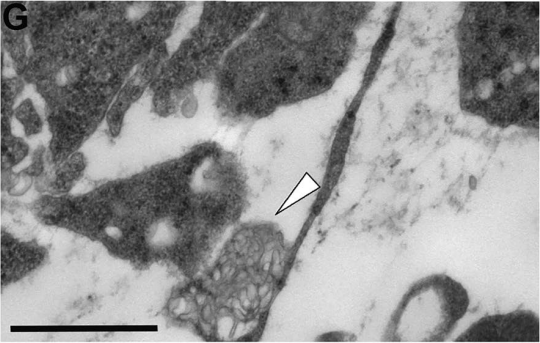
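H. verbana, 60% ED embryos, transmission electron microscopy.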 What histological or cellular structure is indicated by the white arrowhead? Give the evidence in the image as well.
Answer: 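Multivesicular bodies. A rounded cluster of many small membrane-bounded vesicles lies at the tip of the arrowhead. The cluster sits next to a thin elongated cell process and a dark cell.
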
